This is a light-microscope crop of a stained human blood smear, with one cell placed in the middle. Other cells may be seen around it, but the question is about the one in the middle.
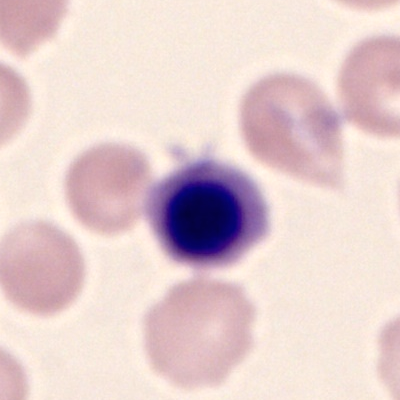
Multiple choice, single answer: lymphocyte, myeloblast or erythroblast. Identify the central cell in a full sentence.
For this crop, the central cell is an erythroblast.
